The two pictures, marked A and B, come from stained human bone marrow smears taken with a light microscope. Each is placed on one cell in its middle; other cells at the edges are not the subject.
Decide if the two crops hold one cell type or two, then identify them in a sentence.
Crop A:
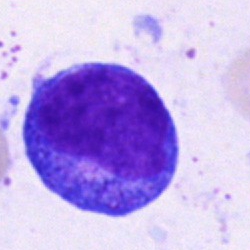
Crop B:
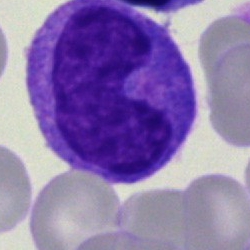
No, a monocyte is the cell of crop B, while a promyelocyte is the cell of crop A.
